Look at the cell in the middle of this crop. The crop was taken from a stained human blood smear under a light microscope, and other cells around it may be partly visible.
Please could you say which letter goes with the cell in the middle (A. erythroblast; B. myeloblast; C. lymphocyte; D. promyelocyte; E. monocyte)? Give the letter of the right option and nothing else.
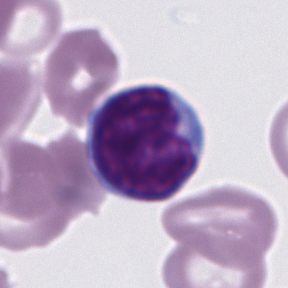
C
